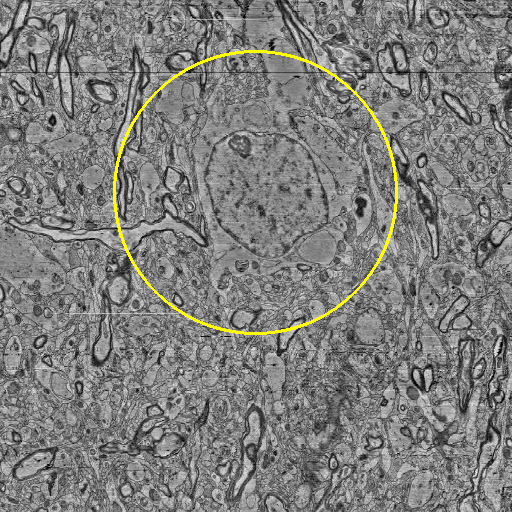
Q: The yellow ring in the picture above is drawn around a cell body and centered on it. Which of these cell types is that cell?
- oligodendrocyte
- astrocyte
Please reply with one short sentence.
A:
The cell body at the ring's center belongs to an astrocyte.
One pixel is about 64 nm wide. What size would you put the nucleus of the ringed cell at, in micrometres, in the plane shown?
The nucleus appears roughly 9 by 8 micrometres in this plane.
